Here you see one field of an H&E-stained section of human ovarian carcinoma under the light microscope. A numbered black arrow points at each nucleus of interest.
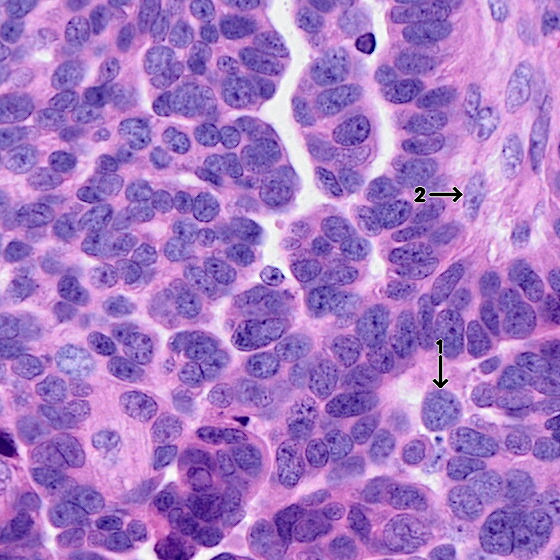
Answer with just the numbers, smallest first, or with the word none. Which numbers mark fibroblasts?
2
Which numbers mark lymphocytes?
none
